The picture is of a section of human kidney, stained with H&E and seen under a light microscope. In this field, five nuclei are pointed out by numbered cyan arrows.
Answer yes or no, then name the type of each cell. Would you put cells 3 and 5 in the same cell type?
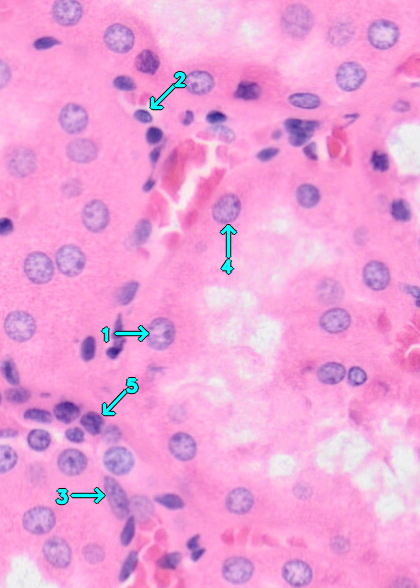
Yes, cell number 3 and cell number 5 are both collecting duct cells.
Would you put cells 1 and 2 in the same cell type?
No, cell 1 is recognized as a proximal tubule cell, and cell 2 as an endothelial cell.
